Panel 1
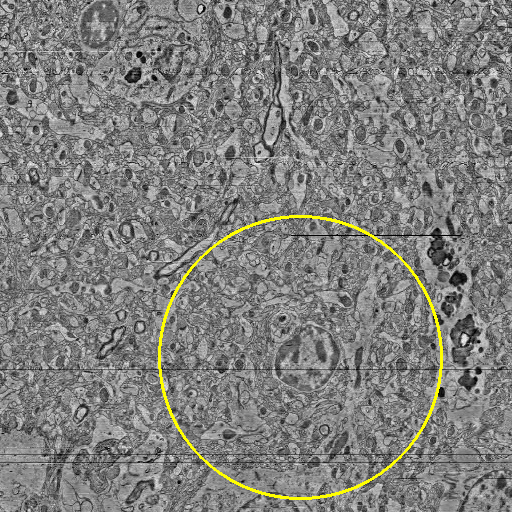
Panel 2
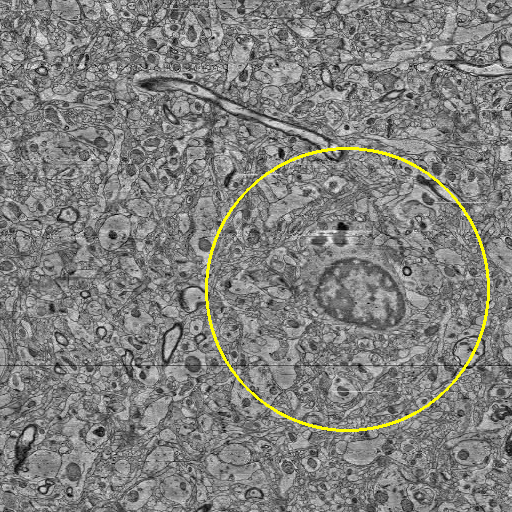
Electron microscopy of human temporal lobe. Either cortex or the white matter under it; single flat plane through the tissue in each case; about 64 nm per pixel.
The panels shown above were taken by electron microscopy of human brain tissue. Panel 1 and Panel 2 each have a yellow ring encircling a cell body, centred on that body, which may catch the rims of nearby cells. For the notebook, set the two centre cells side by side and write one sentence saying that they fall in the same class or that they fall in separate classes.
The centred cells of Panel 1 and Panel 2 fall in separate classes.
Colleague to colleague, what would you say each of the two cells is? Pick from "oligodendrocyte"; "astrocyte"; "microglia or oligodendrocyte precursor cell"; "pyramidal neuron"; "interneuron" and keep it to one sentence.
The cell in the first picture is a microglial cell or oligodendrocyte precursor cell; the second picture's cell is an oligodendrocyte.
